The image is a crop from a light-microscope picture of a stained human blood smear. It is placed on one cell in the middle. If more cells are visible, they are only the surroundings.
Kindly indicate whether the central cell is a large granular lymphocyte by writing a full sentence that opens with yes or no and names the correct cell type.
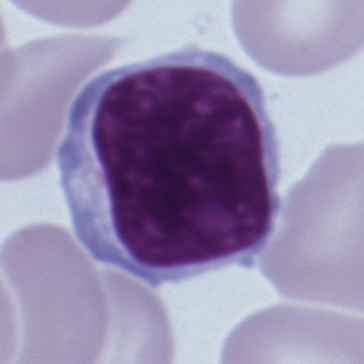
No, the cell located centrally is a typical lymphocyte rather than a large granular lymphocyte.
